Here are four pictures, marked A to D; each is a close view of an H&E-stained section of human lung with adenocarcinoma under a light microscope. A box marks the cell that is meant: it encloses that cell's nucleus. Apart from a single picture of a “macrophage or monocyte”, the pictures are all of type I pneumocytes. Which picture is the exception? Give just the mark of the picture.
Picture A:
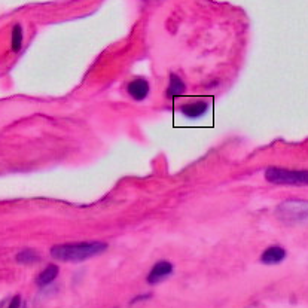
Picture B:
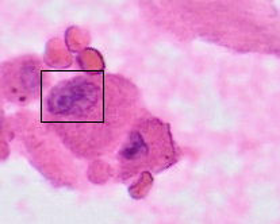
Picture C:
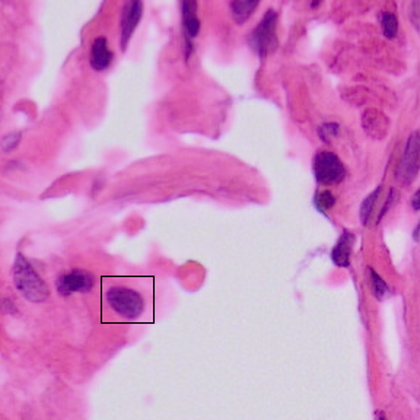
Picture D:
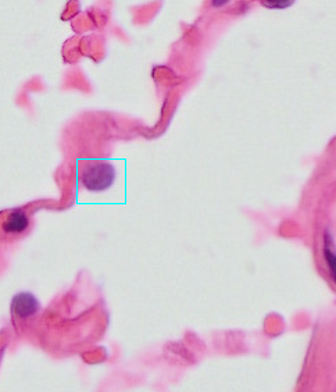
B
